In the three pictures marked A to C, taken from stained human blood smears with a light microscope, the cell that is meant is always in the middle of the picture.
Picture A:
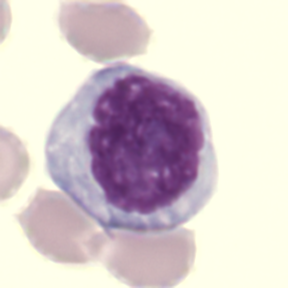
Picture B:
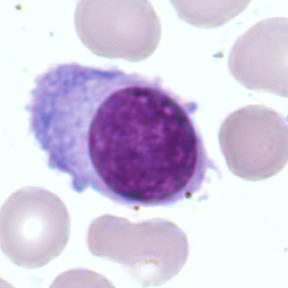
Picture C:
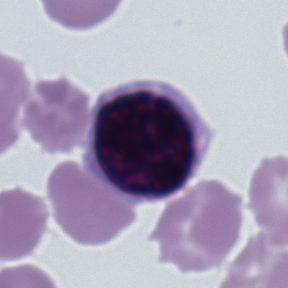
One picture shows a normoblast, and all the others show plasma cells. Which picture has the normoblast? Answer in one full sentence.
It is picture C that shows the normoblast.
